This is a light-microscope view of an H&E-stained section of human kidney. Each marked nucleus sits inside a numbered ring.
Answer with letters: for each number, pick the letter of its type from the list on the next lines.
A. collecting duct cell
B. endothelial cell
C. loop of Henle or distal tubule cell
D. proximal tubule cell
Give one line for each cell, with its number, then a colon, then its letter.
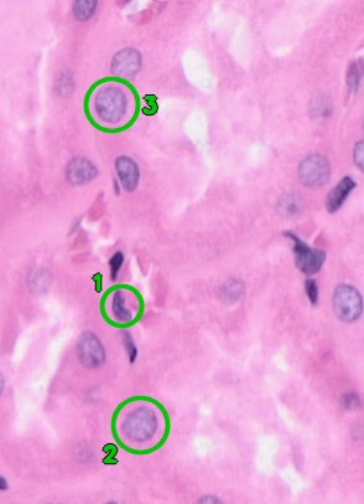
1: B
2: D
3: D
